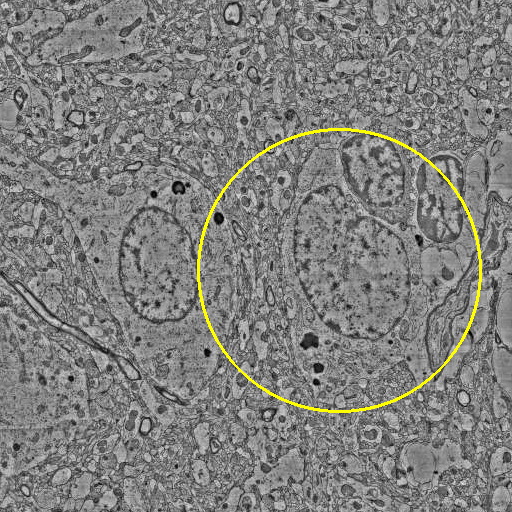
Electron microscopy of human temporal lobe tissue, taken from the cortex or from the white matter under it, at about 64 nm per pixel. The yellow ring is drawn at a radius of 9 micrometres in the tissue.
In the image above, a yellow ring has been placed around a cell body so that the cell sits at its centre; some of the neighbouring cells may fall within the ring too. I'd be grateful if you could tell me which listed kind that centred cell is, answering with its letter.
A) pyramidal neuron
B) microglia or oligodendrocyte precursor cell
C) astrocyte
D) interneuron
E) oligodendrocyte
D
